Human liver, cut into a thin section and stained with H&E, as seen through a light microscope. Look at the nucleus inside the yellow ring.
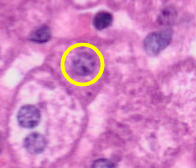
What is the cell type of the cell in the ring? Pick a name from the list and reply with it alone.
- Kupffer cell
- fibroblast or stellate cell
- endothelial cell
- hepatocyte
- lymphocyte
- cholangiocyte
hepatocyte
